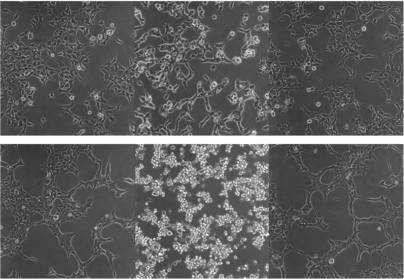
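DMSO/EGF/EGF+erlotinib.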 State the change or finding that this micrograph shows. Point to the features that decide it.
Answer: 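Massively detaching cells. In one field the cells are small, rounded and bright-rimmed instead of flat and spread. These rounded cells lie densely scattered, with few spread processes among them.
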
